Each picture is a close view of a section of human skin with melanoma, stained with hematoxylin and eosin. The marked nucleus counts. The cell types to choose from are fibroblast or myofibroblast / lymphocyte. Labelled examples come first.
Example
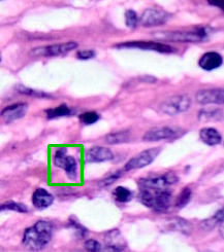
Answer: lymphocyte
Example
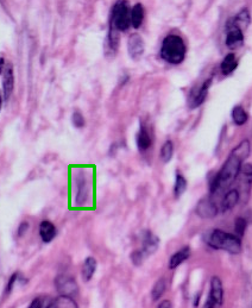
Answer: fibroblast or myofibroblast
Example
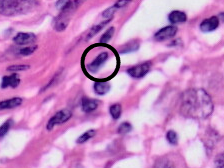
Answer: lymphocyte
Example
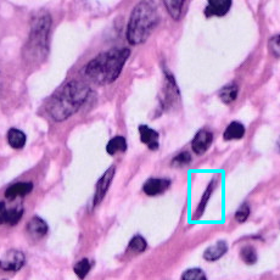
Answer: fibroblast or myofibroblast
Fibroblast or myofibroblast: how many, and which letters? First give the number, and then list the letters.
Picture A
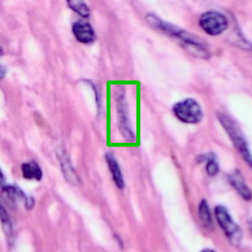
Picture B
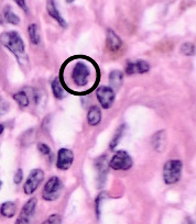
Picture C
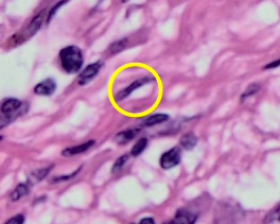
2: A, C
